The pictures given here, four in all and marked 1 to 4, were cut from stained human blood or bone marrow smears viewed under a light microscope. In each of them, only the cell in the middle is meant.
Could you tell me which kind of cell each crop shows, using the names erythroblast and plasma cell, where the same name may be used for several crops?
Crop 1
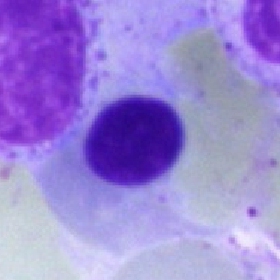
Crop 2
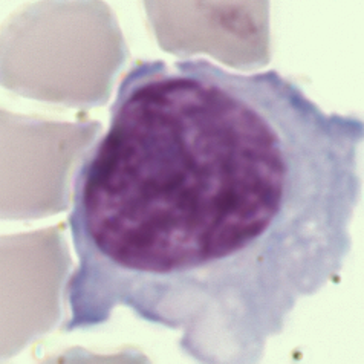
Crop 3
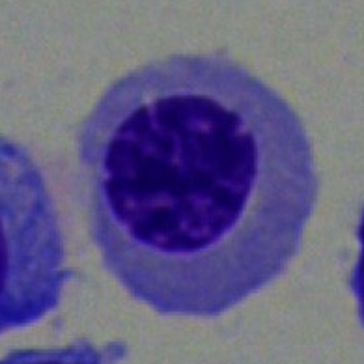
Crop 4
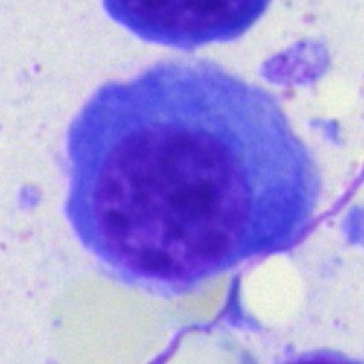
1: erythroblast
2: plasma cell
3: erythroblast
4: plasma cell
